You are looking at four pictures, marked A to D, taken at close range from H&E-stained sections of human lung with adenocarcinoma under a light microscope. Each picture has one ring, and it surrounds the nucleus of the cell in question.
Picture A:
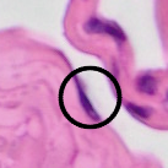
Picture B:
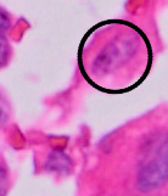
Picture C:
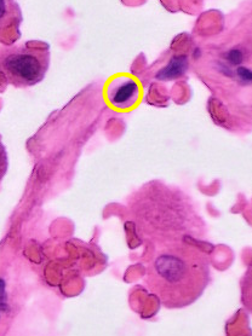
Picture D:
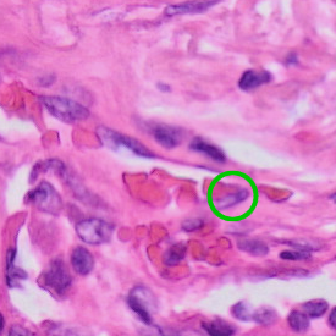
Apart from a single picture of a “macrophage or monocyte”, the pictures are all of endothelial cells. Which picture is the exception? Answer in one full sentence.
The cell in picture B is the “macrophage or monocyte”.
